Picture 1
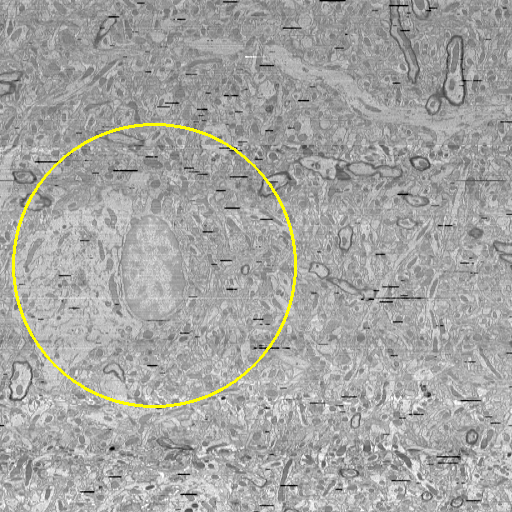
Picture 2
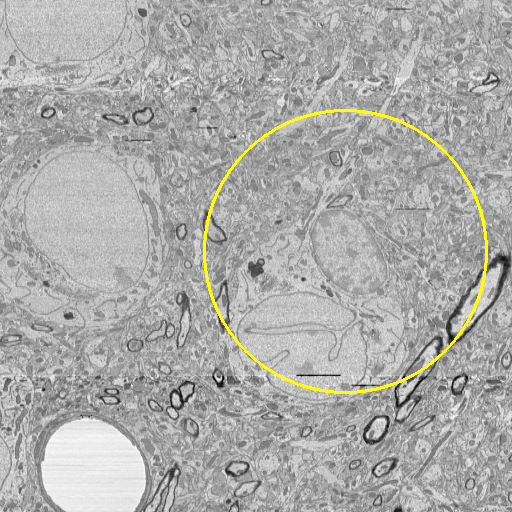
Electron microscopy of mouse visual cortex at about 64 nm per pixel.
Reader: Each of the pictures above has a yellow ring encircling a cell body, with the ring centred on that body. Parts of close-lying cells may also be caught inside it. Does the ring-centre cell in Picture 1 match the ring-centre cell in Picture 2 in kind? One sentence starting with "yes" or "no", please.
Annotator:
Yes, Picture 1 and Picture 2 show ring-centre cells of a single kind.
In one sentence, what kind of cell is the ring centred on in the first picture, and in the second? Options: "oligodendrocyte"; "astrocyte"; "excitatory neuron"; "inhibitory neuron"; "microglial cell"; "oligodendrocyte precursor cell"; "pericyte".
Each cell at the centre of a ring is an oligodendrocyte.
